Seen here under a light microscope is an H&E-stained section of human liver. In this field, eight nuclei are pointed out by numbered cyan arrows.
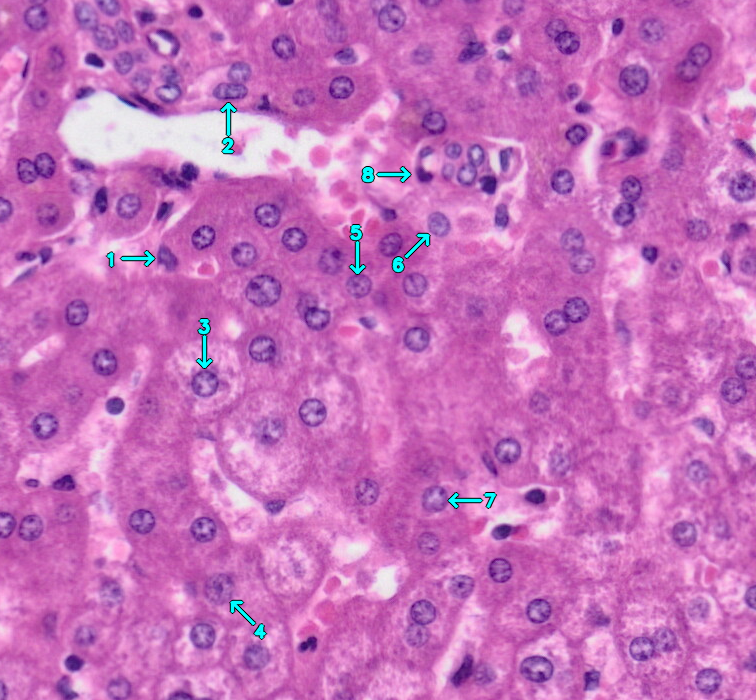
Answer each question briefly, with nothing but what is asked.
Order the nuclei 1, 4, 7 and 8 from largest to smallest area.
4, 7, 1, 8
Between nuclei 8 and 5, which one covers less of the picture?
8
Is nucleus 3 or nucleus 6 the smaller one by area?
6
